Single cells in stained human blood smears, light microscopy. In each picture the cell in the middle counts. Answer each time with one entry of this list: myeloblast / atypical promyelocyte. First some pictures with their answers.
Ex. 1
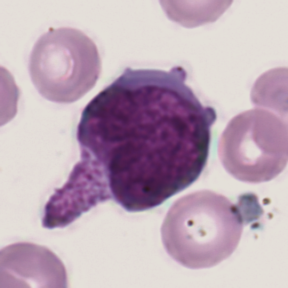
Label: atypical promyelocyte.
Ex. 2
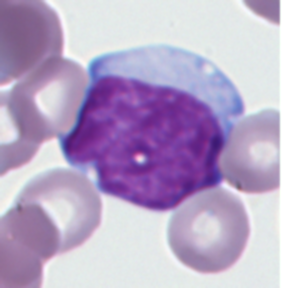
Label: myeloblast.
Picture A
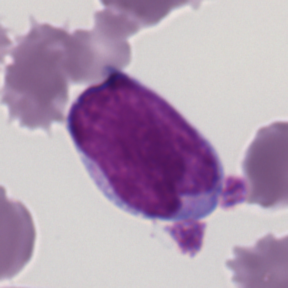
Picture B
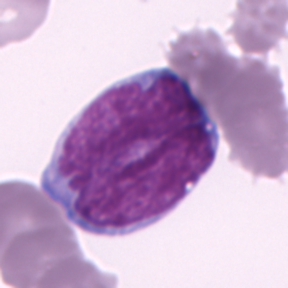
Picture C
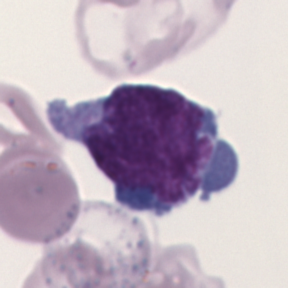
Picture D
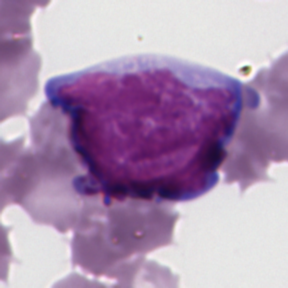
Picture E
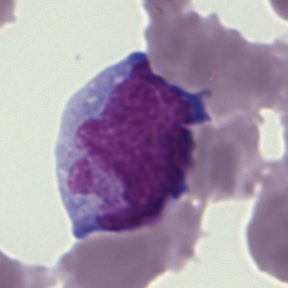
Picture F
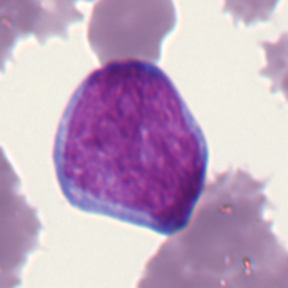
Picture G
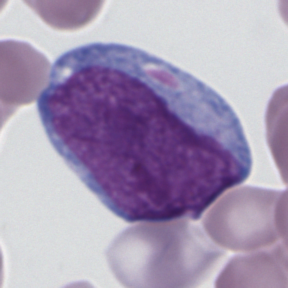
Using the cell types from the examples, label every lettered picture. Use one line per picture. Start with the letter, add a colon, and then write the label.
A: myeloblast.
B: myeloblast.
C: myeloblast.
D: myeloblast.
E: myeloblast.
F: myeloblast.
G: myeloblast.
